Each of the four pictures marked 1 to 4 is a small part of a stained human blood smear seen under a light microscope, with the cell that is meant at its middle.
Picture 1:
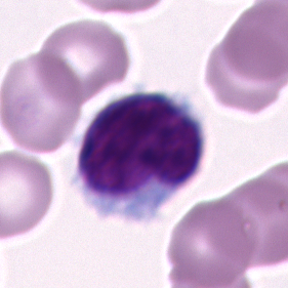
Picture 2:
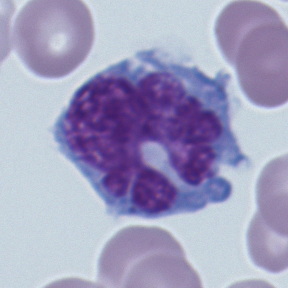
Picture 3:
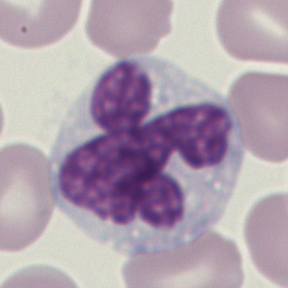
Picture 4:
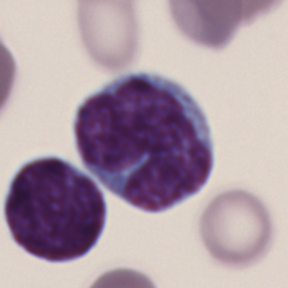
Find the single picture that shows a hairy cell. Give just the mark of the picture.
1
